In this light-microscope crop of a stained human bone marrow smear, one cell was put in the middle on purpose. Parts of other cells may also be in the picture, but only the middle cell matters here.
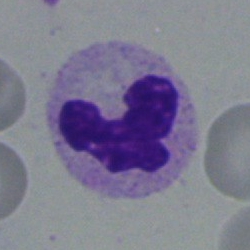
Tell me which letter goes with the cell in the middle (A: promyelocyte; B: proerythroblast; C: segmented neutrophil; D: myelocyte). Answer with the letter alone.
C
